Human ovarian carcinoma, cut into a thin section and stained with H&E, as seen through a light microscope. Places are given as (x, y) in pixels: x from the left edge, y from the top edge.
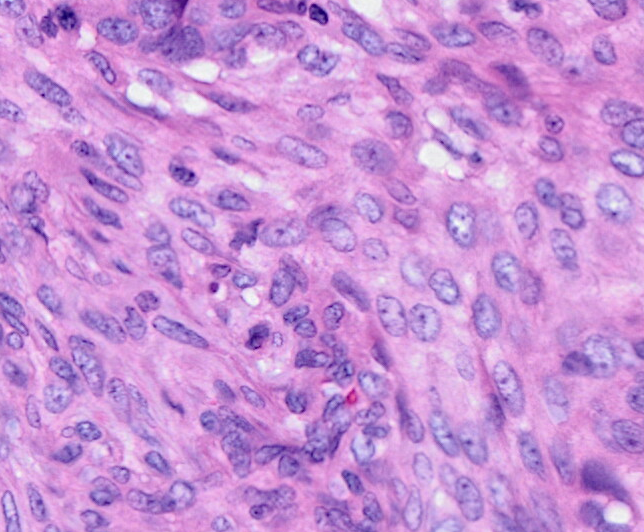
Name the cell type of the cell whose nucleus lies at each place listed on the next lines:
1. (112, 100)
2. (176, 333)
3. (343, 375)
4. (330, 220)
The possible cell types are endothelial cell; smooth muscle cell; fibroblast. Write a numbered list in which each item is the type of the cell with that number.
1. fibroblast
2. fibroblast
3. endothelial cell
4. fibroblast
